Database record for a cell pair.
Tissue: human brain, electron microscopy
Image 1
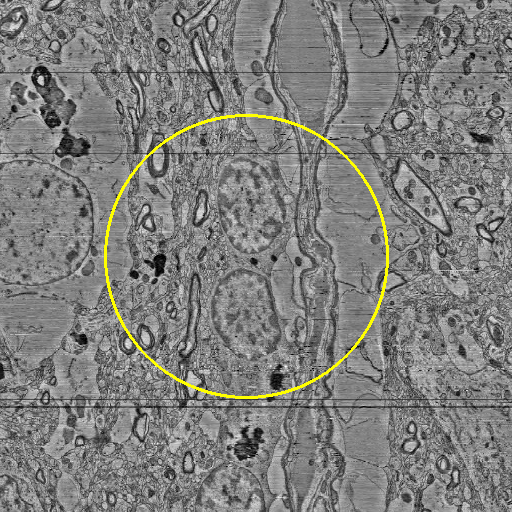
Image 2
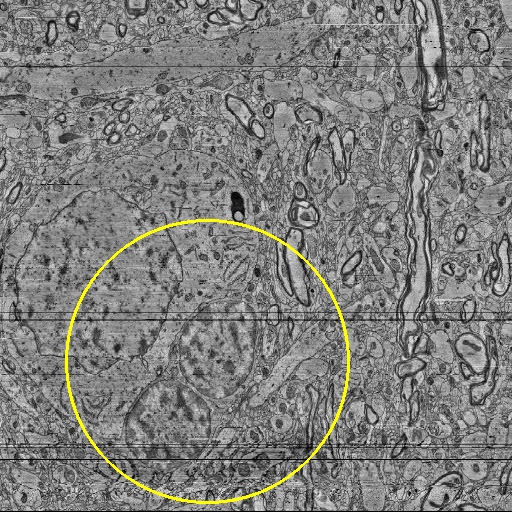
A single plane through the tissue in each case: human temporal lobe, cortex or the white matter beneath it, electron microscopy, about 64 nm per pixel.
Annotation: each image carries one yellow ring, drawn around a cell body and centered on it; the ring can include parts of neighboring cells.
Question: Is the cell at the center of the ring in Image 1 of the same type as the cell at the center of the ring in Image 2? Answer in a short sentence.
Yes, the cells are of the same type.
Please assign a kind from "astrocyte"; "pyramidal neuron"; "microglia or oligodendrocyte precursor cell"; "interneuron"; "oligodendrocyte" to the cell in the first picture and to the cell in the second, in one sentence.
In each picture the ringed cell is an oligodendrocyte.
